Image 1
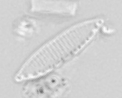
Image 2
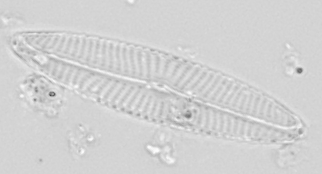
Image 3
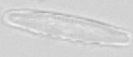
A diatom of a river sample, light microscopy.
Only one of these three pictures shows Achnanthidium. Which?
Picture 3.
